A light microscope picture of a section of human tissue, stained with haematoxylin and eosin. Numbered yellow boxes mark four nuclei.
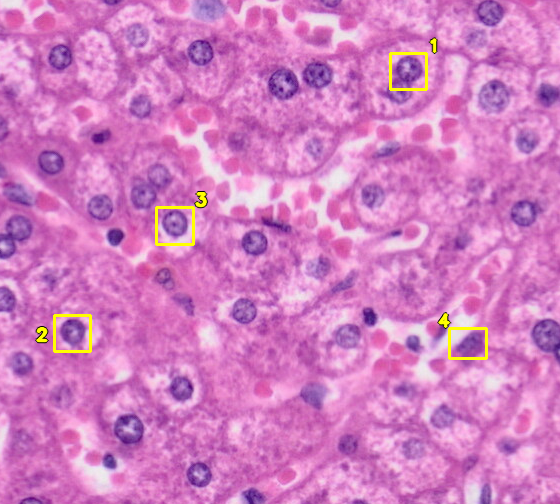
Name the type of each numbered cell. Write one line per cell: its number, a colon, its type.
1: hepatocyte
2: hepatocyte
3: hepatocyte
4: Kupffer cell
